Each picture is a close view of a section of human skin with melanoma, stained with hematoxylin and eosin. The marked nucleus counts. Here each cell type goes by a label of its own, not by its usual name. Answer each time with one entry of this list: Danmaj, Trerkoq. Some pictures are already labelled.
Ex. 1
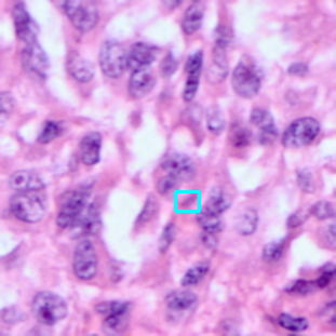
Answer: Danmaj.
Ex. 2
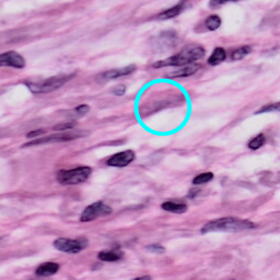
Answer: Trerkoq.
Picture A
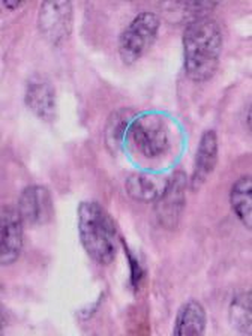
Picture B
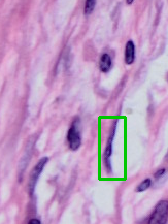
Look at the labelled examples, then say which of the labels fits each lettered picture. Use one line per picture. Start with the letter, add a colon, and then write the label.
A: Danmaj.
B: Trerkoq.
